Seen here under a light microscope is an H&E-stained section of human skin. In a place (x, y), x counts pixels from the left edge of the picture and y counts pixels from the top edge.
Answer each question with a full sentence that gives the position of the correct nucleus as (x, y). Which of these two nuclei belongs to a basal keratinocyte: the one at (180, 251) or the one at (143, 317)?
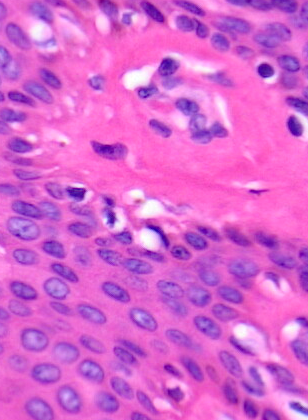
The nucleus contained in a basal keratinocyte is the one at (180, 251).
